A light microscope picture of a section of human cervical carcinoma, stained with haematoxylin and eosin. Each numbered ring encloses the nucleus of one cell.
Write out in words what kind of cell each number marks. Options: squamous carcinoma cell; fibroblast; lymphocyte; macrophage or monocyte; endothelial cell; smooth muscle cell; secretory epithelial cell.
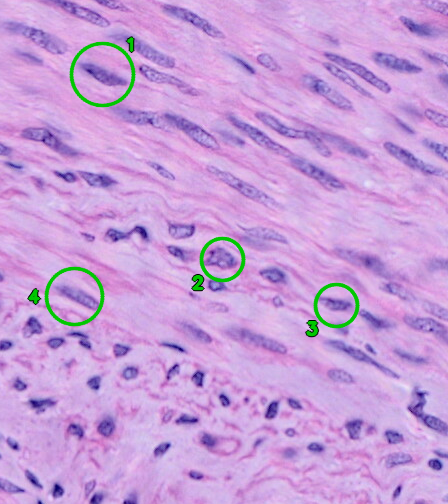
Cell 1 is a fibroblast, cell 2 is a smooth muscle cell, cell 3 is a smooth muscle cell and cell 4 is a smooth muscle cell.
